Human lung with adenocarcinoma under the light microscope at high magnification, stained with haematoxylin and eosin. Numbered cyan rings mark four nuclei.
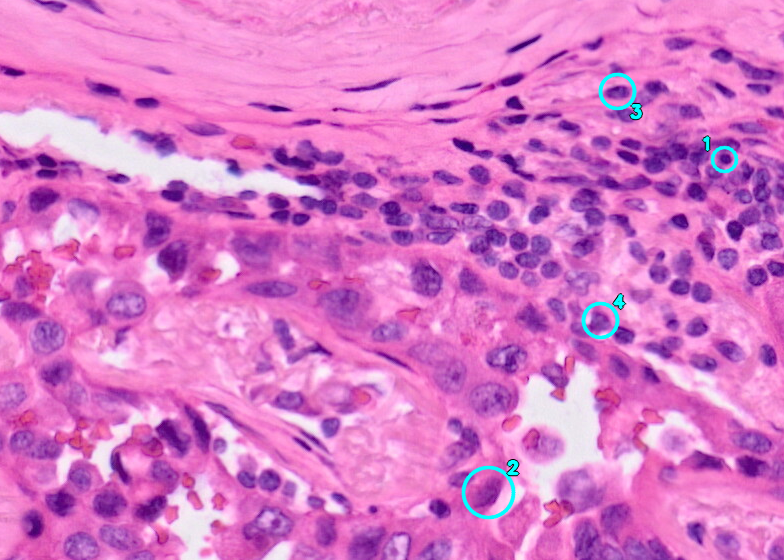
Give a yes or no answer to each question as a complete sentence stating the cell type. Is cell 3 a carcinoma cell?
No, the cell tagged 3 is a lymphocyte, not a carcinoma cell.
